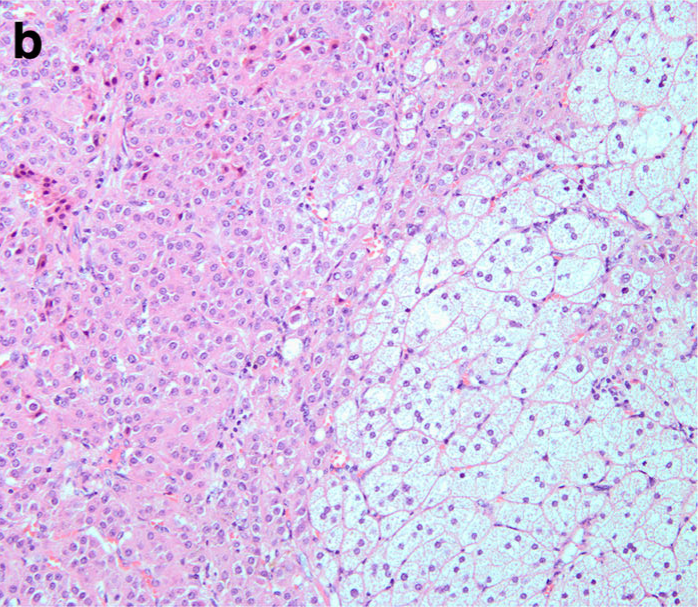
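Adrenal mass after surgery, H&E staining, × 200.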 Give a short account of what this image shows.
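The acidophilic cells are polygonal, packed in sheets, with dense pink cytoplasm and round nuclei. The clear cells are larger and have pale, finely vacuolated cytoplasm that looks almost empty, separated by thin pink cell borders and delicate vessels. The nuclei in both populations are small, round and fairly uniform, with no striking variation in size or shape.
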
